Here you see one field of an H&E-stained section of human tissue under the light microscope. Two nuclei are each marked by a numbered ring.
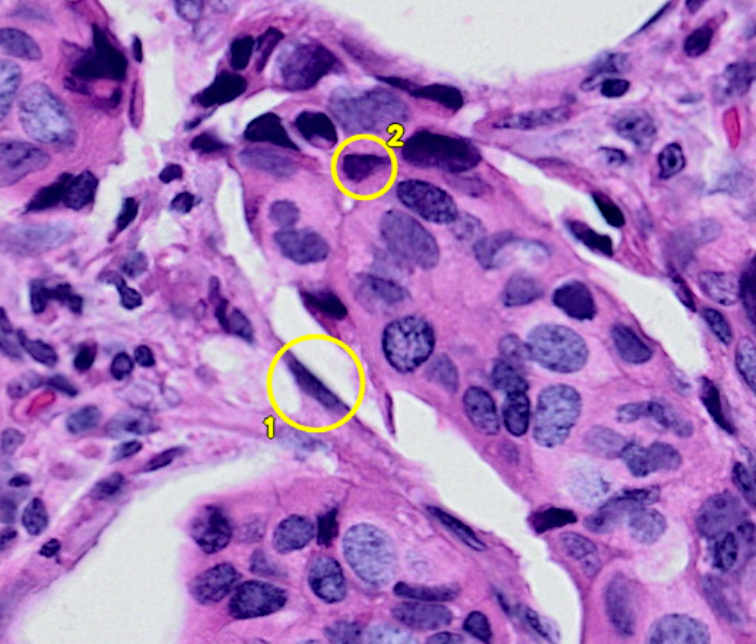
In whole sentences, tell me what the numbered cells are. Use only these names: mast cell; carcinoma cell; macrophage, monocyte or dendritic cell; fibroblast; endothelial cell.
Cell 1 is a fibroblast and cell 2 is a carcinoma cell.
